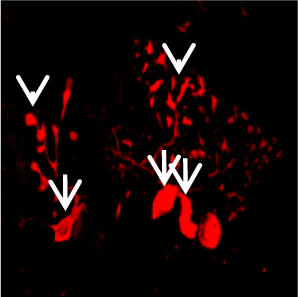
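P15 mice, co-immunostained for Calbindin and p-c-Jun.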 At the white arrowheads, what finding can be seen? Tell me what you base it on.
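The arrowheads point to beaded, blob-like red swellings along thin processes above the cell bodies. The processes look fragmented rather than smoothly branching.
Dendrite swelling.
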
